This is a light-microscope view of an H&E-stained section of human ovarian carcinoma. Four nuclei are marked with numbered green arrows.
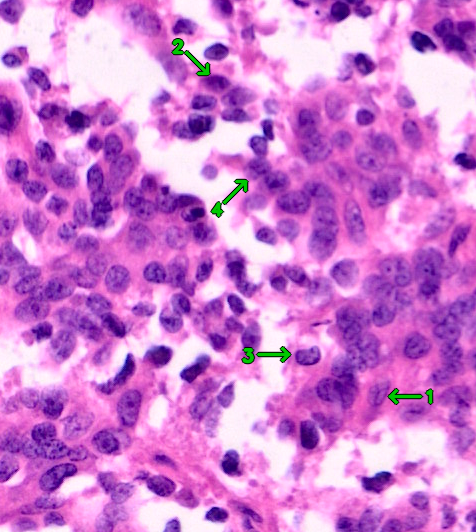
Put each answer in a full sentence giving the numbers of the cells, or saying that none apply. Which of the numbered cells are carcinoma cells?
The numbers 2 and 4 refer to cells that are carcinoma cells.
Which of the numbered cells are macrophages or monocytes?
None but cell 3 among the numbered cells is a macrophage or monocyte.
